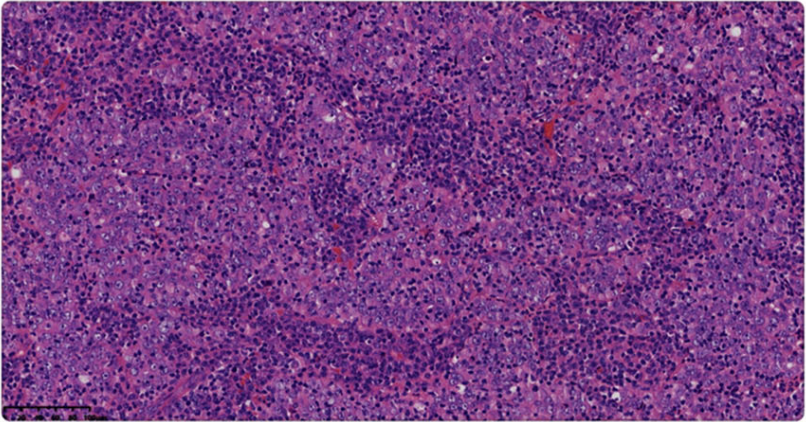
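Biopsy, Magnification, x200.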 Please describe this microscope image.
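Undifferentiated carcinoma cells are arranged in nests and sheets of large cells with pale pink cytoplasm, indistinct cell borders and round to oval vesicular nuclei. Winding bands of small lymphocytes and plasma cells with dark round nuclei run between and into the tumor nests, so that tumor and inflammatory cells are intimately mixed. No glands or other differentiated structures are formed.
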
